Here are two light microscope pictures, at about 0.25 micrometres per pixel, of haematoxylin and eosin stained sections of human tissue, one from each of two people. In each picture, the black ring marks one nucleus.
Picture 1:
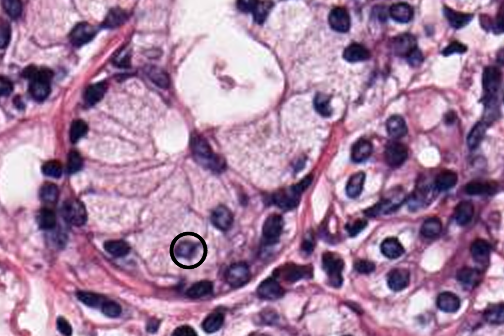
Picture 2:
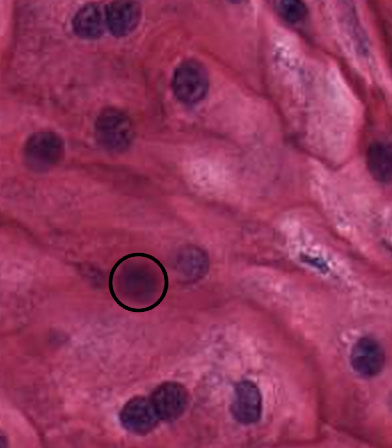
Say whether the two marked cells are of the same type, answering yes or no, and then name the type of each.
No, the first is a mucous gland cell and the second a squamous epithelial cell.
